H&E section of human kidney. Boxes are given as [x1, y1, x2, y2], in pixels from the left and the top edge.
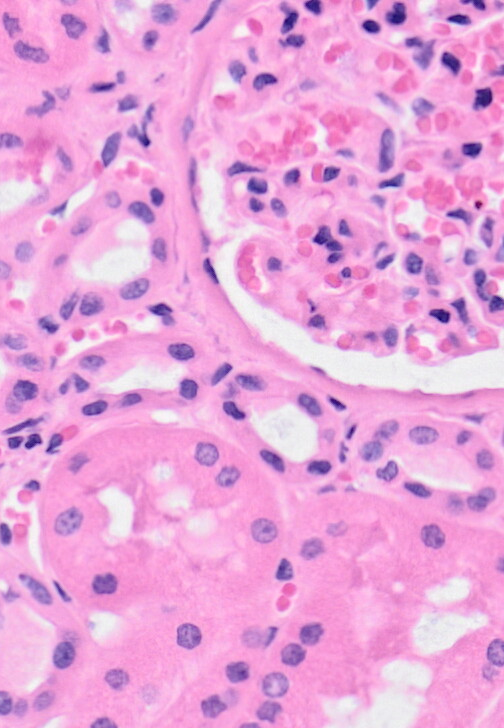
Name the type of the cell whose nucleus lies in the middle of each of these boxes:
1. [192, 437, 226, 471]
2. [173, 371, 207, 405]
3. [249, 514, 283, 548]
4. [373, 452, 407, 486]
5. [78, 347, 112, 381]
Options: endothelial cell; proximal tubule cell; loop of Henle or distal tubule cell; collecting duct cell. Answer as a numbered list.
1. proximal tubule cell
2. collecting duct cell
3. proximal tubule cell
4. collecting duct cell
5. collecting duct cell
